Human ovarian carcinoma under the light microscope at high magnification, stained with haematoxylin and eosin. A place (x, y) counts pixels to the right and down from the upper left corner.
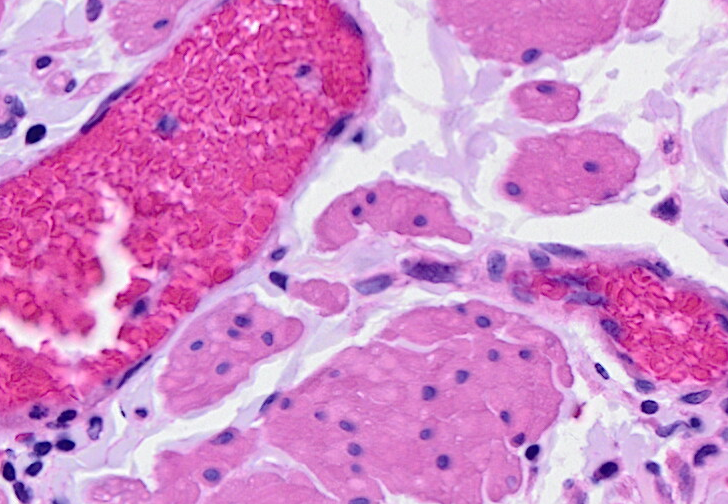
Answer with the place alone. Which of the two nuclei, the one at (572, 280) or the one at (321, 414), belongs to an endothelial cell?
(572, 280)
